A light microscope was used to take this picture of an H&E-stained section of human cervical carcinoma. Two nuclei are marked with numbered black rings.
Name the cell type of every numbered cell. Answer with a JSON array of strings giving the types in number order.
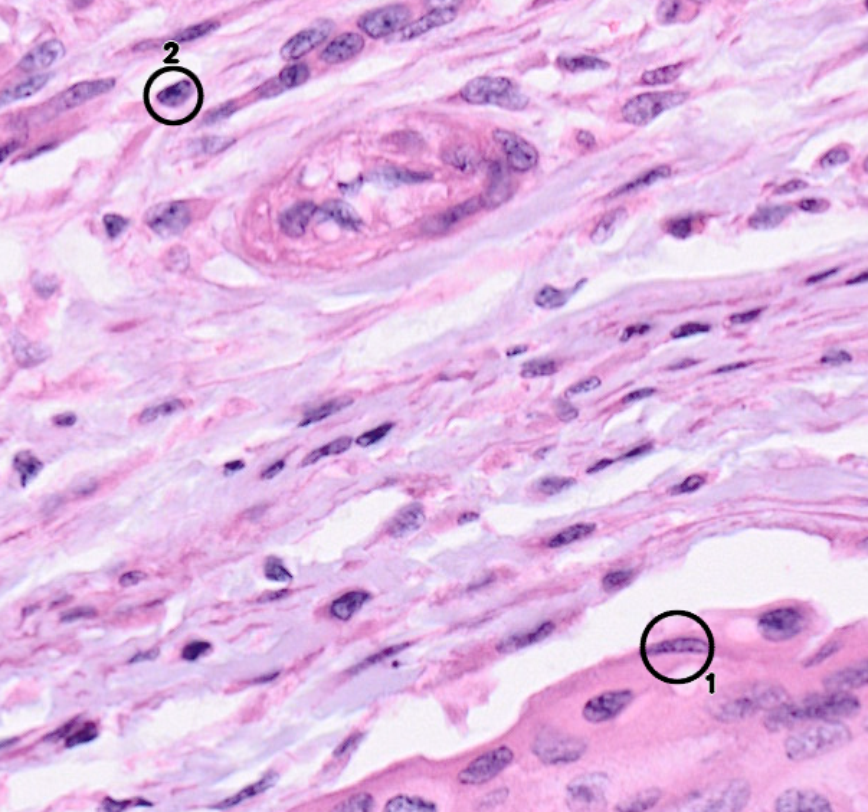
["squamous carcinoma cell", "lymphocyte"]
